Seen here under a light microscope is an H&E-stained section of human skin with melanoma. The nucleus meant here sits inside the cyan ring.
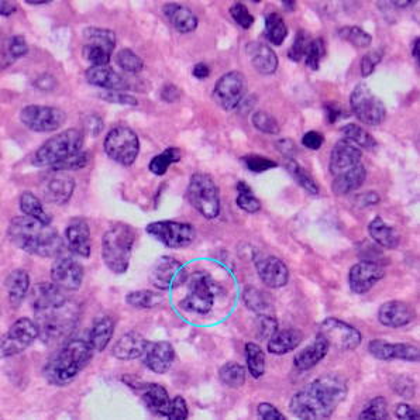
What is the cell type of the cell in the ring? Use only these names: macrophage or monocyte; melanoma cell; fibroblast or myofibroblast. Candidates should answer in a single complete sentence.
In this preparation, the cell in the ring is a melanoma cell.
